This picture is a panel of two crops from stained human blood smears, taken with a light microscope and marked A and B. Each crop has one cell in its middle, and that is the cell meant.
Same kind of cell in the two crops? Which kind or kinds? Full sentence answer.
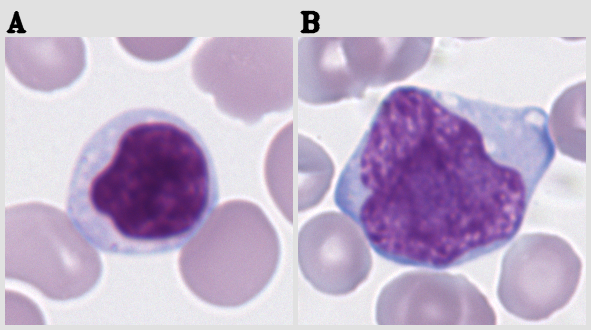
No, crop A is home to a typical lymphocyte, and crop B to a myeloblast.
